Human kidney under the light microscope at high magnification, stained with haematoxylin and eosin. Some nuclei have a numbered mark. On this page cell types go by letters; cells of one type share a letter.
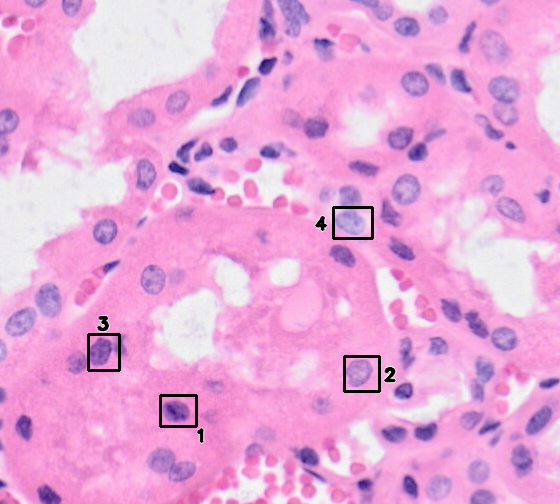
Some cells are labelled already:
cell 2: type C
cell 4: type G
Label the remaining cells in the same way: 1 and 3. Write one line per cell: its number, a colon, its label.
1: type C
3: type C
